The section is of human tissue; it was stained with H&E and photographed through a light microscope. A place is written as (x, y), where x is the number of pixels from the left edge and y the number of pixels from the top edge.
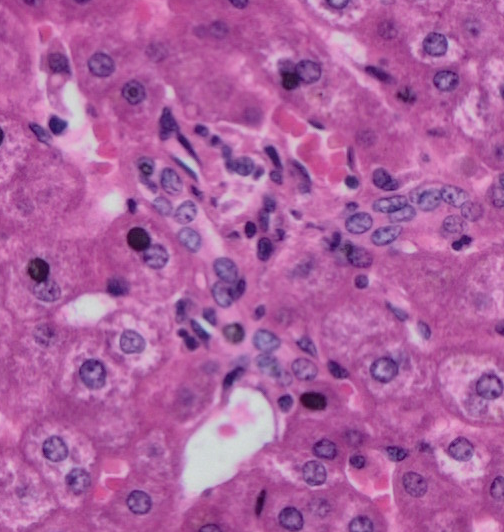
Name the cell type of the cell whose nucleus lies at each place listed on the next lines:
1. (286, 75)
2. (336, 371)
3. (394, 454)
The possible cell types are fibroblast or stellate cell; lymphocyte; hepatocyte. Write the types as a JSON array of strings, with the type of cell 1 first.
["hepatocyte", "fibroblast or stellate cell", "fibroblast or stellate cell"]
